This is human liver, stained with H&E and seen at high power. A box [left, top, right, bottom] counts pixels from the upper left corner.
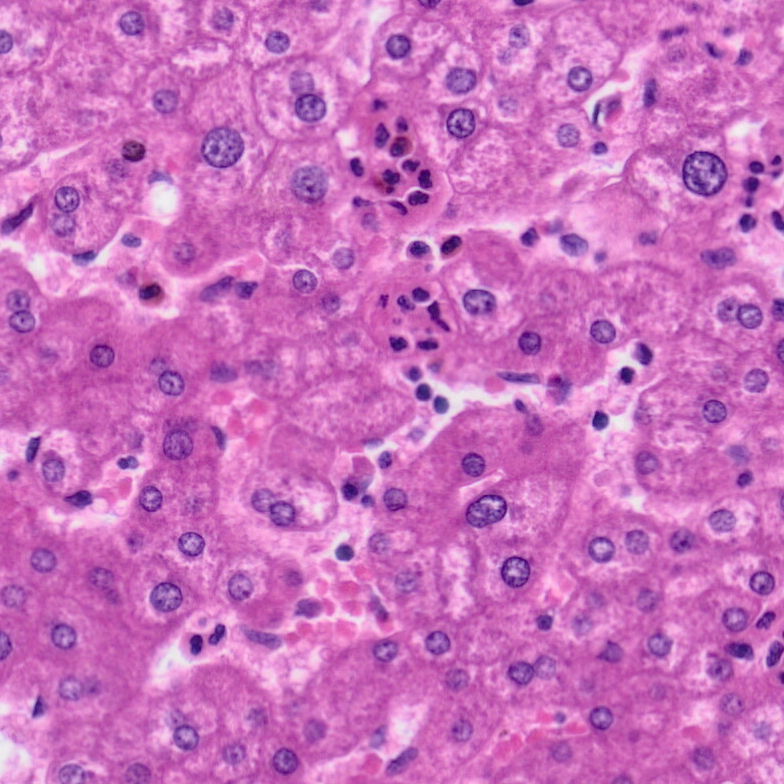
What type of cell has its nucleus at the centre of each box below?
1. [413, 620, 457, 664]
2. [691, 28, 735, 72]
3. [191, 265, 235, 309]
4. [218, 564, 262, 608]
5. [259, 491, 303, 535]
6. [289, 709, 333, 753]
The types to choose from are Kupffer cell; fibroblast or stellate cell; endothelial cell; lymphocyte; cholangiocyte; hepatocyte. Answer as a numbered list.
1. hepatocyte
2. endothelial cell
3. Kupffer cell
4. hepatocyte
5. hepatocyte
6. hepatocyte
